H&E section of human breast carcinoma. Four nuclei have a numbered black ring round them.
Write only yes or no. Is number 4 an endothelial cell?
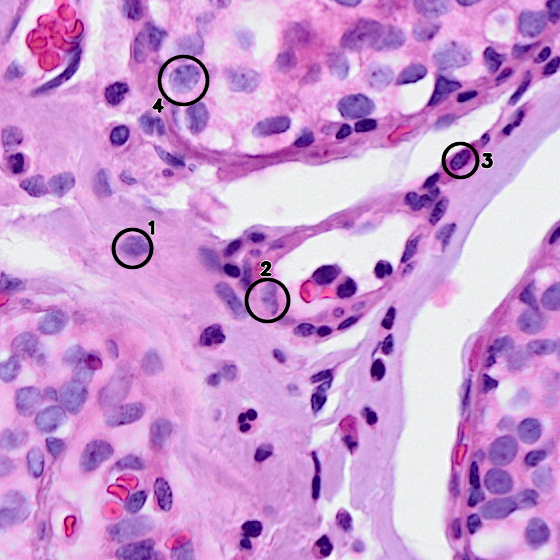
no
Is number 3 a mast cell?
yes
